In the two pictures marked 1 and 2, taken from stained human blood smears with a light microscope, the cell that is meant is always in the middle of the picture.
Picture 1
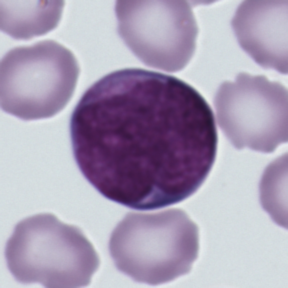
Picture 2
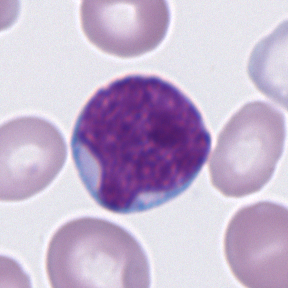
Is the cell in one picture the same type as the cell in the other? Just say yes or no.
yes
